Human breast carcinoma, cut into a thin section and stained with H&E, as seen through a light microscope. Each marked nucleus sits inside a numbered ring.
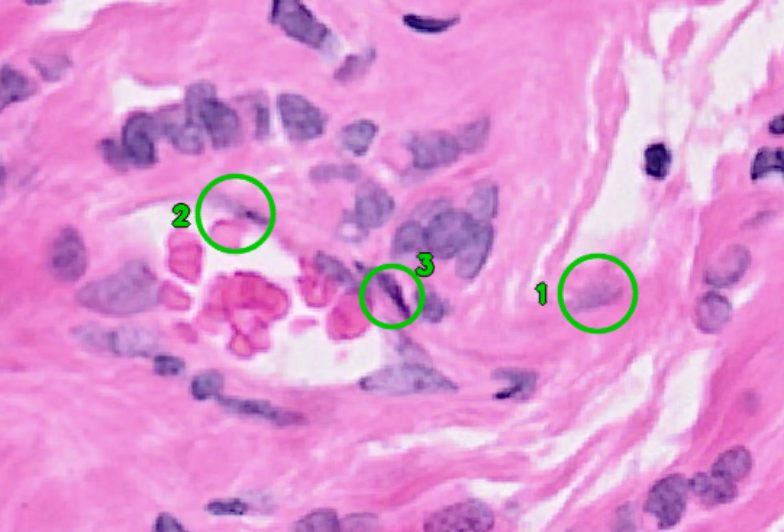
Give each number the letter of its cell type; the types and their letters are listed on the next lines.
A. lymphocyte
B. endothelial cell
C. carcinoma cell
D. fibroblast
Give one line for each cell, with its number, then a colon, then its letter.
1: D
2: B
3: B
